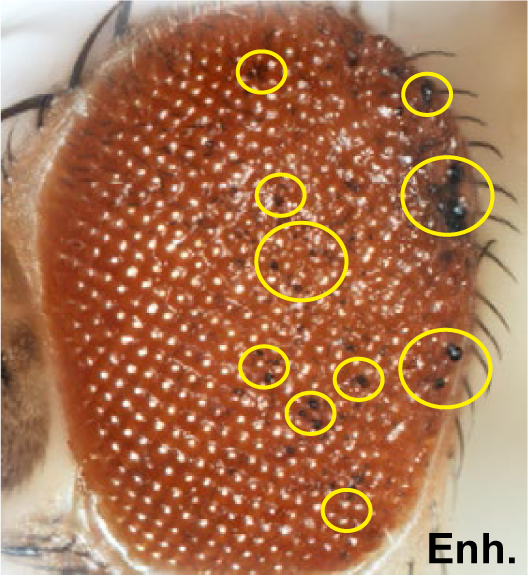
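This is a brightfield surface view of an adult fly compound eye with a rough surface and necrotic patches. The red eye is covered by an array of ommatidial facets that is less even than normal, with facets of varying size and spacing. Scattered across the surface are small dark black spots, many of them ringed by yellow circles. Two larger blackened areas lie toward the right side of the eye. These dark spots are patches of dead tissue within the facet array.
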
